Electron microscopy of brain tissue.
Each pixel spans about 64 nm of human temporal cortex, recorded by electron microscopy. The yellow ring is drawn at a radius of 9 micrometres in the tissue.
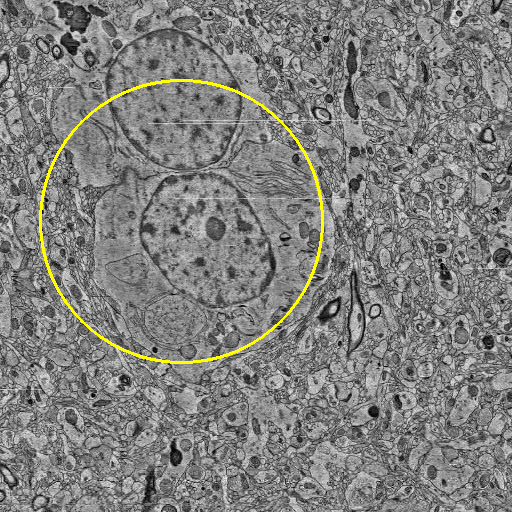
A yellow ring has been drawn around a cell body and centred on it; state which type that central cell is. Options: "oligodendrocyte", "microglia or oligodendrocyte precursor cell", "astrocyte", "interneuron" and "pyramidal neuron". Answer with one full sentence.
The cell at the middle of the yellow ring is an astrocyte in this picture.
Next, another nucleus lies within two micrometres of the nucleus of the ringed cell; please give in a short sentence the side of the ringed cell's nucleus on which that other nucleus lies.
That nucleus lies above it.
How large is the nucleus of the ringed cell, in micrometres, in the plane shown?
The nucleus is approximately 10 micrometers long by 7 micrometers wide in this plane.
